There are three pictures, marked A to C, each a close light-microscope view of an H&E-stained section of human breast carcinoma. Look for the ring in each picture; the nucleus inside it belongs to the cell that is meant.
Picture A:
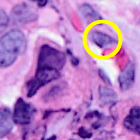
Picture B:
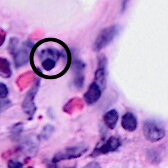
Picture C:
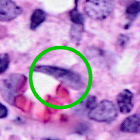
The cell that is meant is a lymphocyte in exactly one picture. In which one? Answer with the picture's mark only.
B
